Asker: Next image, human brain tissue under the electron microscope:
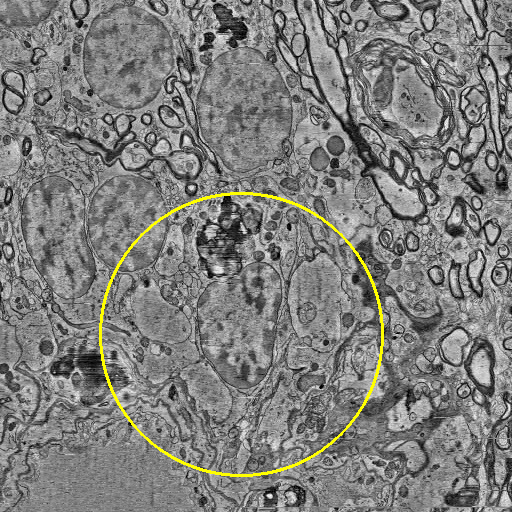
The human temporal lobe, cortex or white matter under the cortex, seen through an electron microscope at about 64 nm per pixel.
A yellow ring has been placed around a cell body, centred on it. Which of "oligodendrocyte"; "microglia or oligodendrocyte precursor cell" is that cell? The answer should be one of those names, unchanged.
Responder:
microglia or oligodendrocyte precursor cell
